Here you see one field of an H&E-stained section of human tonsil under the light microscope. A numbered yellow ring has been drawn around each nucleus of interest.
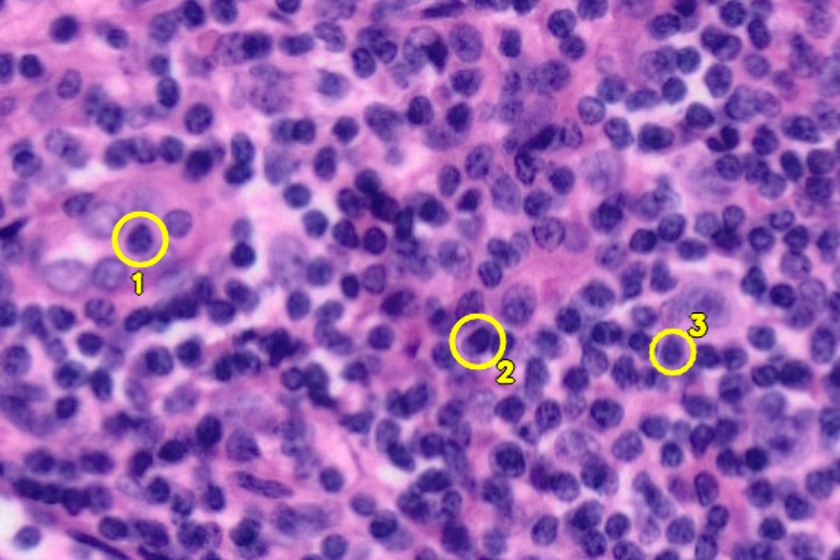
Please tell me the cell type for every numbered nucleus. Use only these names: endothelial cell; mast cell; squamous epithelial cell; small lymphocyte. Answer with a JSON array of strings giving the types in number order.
["endothelial cell", "small lymphocyte", "small lymphocyte"]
